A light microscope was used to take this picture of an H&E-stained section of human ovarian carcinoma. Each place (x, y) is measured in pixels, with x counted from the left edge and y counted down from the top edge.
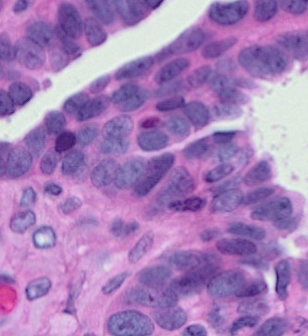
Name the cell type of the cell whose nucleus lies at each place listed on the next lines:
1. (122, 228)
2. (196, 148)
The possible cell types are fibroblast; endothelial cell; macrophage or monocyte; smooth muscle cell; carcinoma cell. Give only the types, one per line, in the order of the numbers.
macrophage or monocyte
carcinoma cell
